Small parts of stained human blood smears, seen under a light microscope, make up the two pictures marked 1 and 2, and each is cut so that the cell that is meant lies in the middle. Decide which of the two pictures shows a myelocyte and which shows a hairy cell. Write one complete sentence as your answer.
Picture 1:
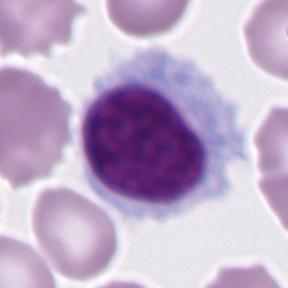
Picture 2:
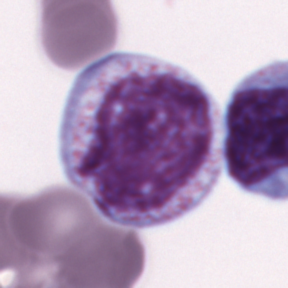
In picture 1 the cell is a hairy cell; in picture 2, a myelocyte.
